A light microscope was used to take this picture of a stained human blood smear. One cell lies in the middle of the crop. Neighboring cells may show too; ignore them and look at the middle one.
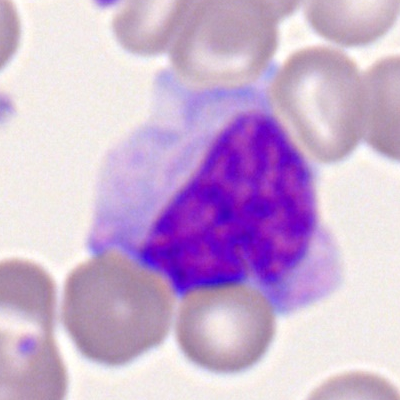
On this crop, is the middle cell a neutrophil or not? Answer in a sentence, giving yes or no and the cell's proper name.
No, the cell in the middle is recognised as a monocyte rather than a neutrophil.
